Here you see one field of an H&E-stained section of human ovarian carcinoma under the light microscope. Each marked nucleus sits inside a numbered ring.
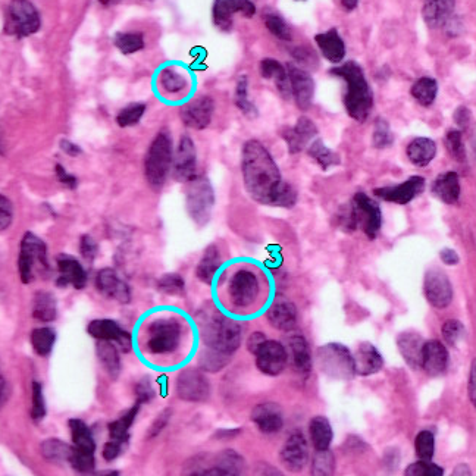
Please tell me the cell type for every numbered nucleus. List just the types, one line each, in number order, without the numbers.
carcinoma cell
macrophage or monocyte
carcinoma cell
